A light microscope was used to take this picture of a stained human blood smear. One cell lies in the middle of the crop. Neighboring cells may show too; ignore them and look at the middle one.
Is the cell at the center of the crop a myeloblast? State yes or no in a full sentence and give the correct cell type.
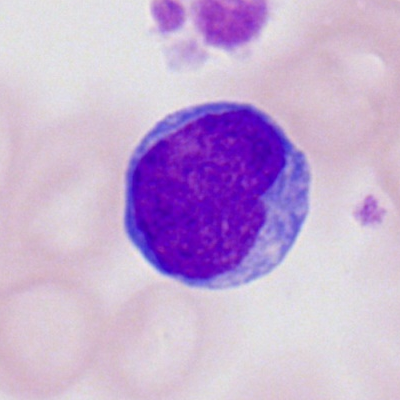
Yes, the cell found at the centre of the crop is a myeloblast.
